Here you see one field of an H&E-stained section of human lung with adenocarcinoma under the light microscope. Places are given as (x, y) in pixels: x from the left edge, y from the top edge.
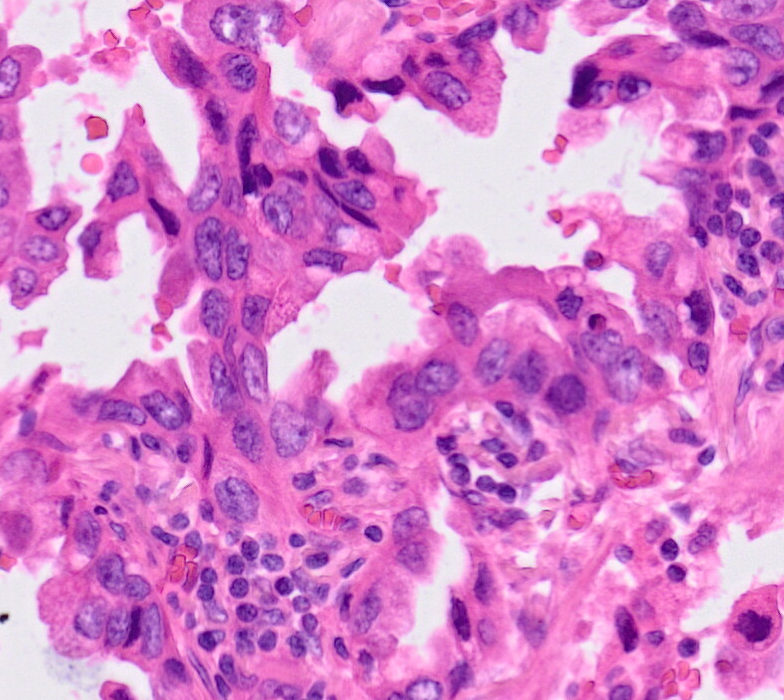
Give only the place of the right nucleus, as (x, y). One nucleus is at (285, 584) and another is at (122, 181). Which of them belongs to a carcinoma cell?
(122, 181)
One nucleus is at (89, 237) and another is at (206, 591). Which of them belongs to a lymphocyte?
(206, 591)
